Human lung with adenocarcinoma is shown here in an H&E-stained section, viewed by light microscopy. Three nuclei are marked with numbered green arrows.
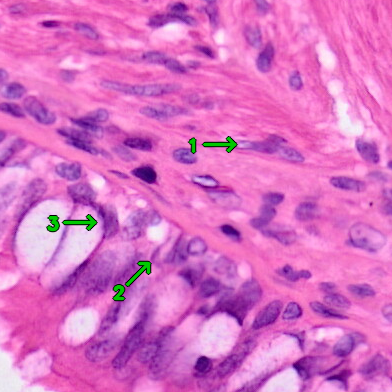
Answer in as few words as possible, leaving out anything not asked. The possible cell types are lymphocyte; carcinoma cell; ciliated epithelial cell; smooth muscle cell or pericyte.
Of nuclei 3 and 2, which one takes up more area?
3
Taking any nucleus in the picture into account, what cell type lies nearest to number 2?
ciliated epithelial cell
